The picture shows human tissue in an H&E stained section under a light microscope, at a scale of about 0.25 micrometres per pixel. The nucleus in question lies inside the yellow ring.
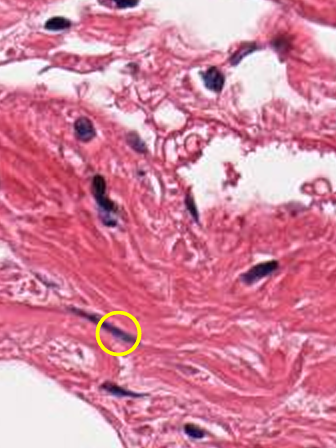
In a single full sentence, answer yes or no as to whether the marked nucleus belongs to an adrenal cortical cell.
No, the marked nucleus is contained in a supporting cell and not in an adrenal cortical cell.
